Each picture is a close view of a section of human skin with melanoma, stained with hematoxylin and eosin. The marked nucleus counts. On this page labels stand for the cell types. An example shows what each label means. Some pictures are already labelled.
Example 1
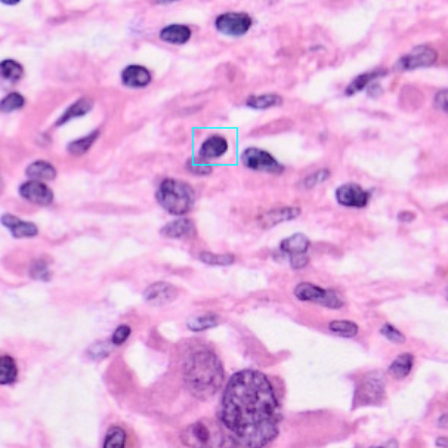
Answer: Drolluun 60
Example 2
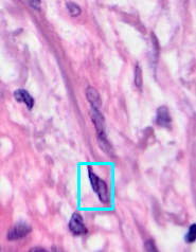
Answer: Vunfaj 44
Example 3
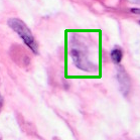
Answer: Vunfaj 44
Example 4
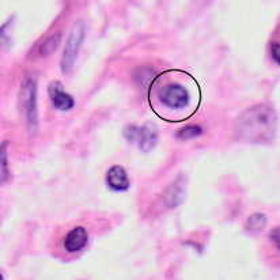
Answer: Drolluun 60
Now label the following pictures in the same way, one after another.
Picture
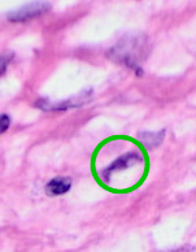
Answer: Vunfaj 44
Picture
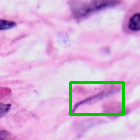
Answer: Vunfaj 44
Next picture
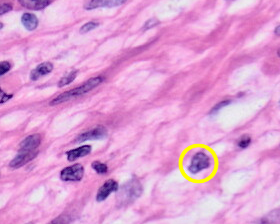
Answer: Drolluun 60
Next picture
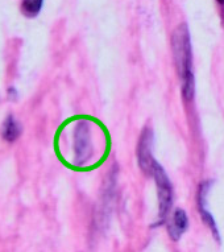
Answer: Vunfaj 44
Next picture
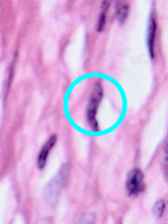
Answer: Vunfaj 44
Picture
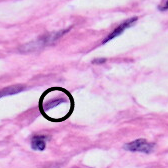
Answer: Vunfaj 44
